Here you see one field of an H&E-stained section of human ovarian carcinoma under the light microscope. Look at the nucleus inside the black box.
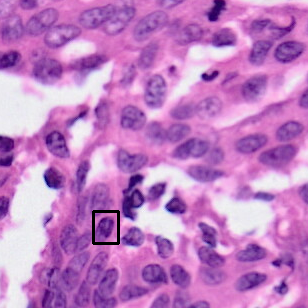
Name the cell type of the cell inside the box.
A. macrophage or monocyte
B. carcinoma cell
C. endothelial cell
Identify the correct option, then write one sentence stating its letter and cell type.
The correct choice is option B; the cell inside the box is a carcinoma cell.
